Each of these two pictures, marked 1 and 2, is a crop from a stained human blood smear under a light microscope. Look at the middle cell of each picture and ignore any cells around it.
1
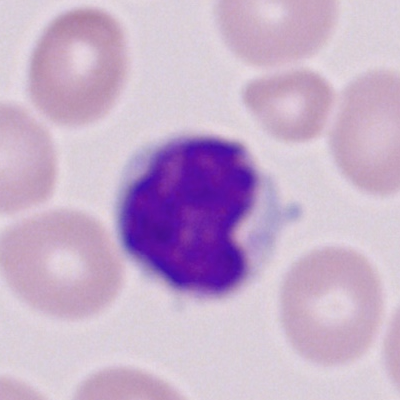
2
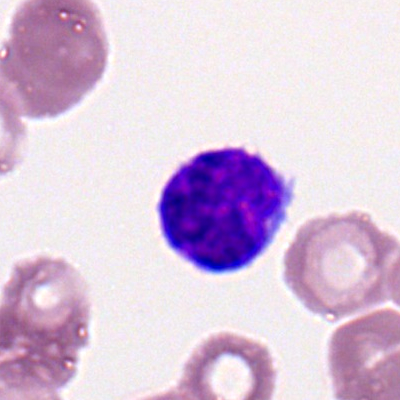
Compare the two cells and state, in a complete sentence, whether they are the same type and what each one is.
Yes, the two cells in the two crops are lymphocytes.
